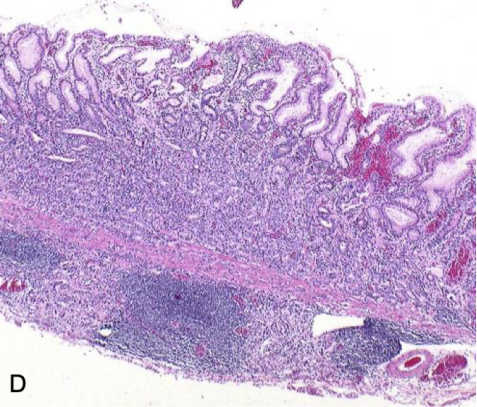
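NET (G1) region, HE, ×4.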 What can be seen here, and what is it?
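This low-power section of the stomach wall shows pale, foveolar surface glands at the top, and beneath them the lamina propria is filled by a dense, even population of small tumor cells arranged in cords and small nests. The growth looks monotonous throughout, and it extends down below a pink muscle band, where dark blue lymphoid aggregates lie at the bottom of the field.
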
